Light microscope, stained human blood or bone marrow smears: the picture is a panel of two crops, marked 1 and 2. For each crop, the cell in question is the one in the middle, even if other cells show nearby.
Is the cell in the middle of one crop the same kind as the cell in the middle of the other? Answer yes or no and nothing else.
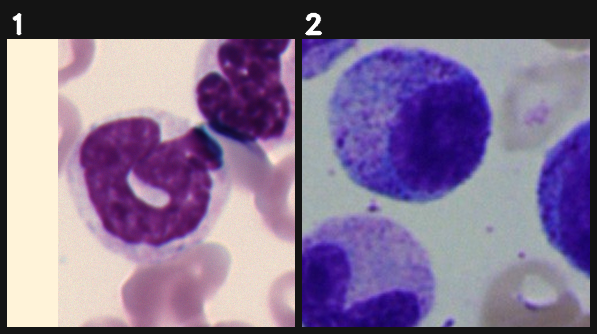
no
